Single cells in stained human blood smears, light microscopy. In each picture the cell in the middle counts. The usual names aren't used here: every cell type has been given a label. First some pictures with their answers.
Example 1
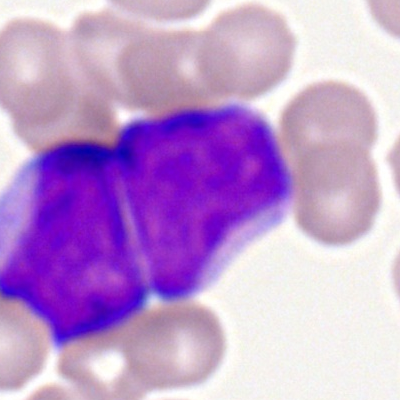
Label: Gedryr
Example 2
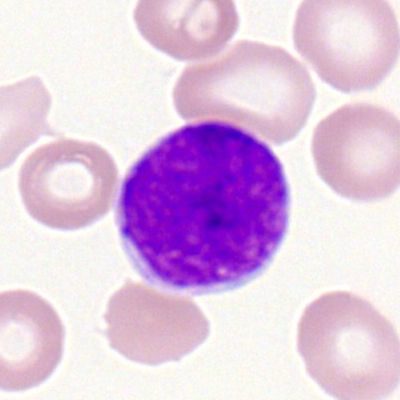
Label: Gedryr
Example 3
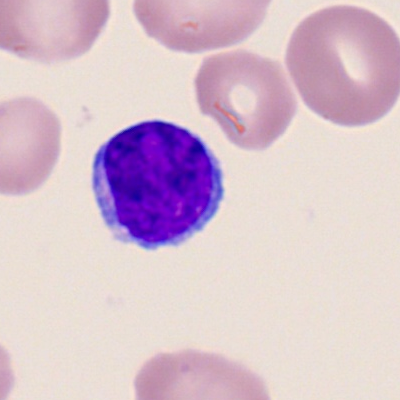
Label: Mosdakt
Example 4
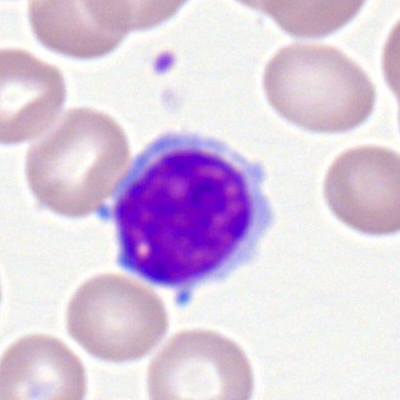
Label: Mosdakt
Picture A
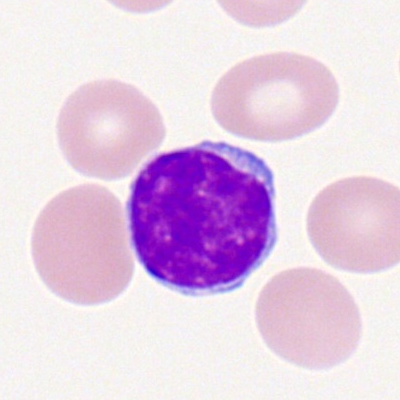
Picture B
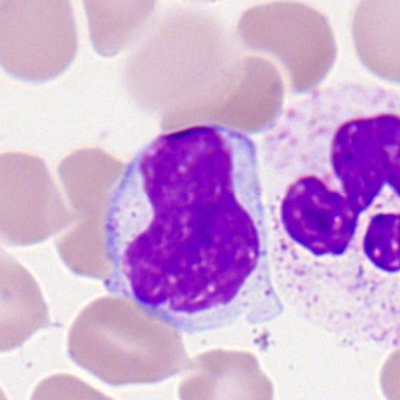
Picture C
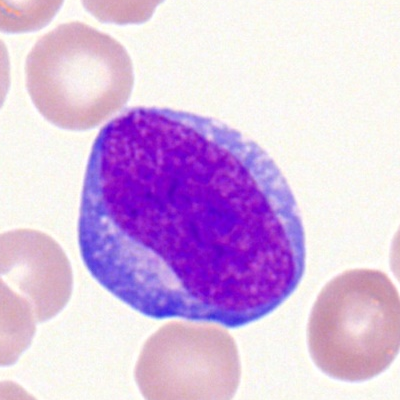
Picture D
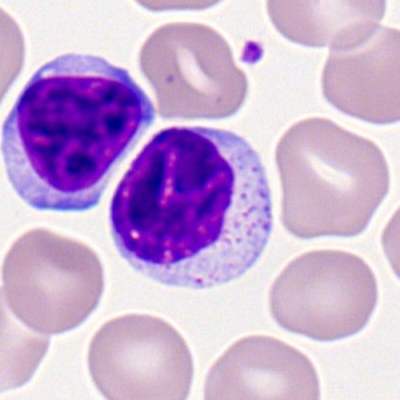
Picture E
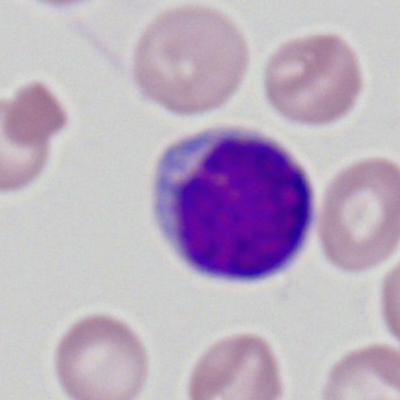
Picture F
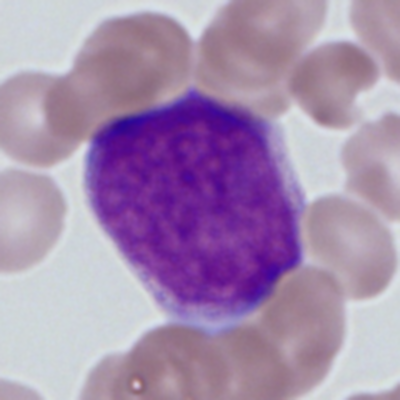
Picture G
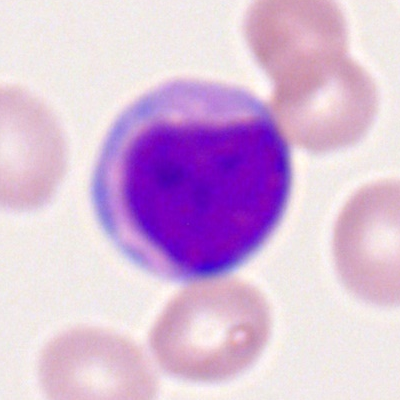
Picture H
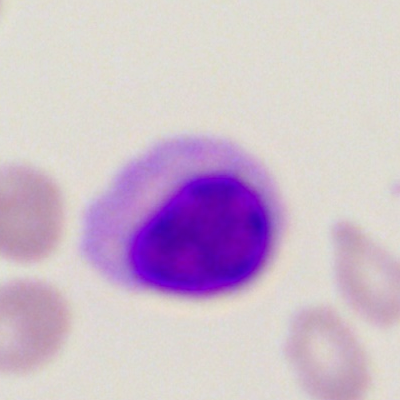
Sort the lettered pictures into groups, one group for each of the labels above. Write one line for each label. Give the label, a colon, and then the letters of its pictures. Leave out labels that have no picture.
Gedryr: C, F, G
Mosdakt: A, B, D, E, H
